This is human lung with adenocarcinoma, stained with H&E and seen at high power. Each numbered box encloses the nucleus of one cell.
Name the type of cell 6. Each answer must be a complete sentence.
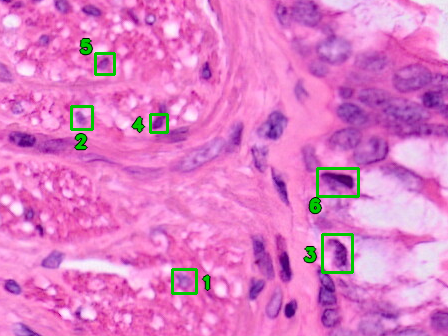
Corresponding to a ciliated epithelial cell is the cell labelled 6.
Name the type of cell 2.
The one numbered 2 among the marked cells is a smooth muscle cell or pericyte.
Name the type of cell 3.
The cell carrying label 3 is identified as a ciliated epithelial cell.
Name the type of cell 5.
At number 5, the marked cell is a smooth muscle cell or pericyte.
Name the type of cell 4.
The marked cell with the number 4 is recognised as a smooth muscle cell or pericyte.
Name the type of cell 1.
Among the marked nuclei, number 1 belongs to a smooth muscle cell or pericyte.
